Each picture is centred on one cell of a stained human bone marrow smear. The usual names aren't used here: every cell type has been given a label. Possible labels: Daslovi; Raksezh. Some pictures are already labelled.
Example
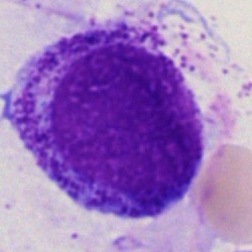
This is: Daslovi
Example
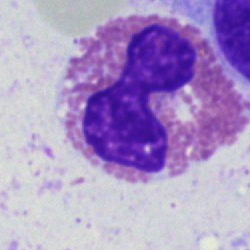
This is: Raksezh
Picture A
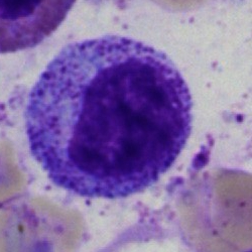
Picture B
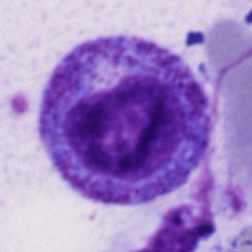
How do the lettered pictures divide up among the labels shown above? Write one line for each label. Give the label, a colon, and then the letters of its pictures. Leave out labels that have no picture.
Daslovi: A, B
